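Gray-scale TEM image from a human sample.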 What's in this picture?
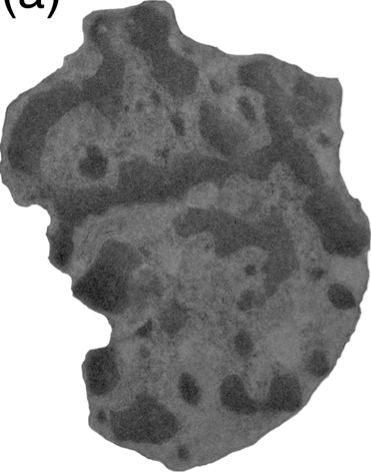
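Inside, dark, dense patches of condensed chromatin are scattered among paler, finely granular regions of more open chromatin. Some of the dark patches lie against the rim of the nucleus, and others form larger blotches and strands through its interior.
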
